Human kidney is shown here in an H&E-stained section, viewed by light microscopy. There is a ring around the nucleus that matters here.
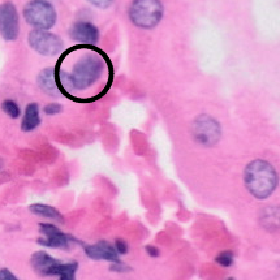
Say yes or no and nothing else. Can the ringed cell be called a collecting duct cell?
yes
